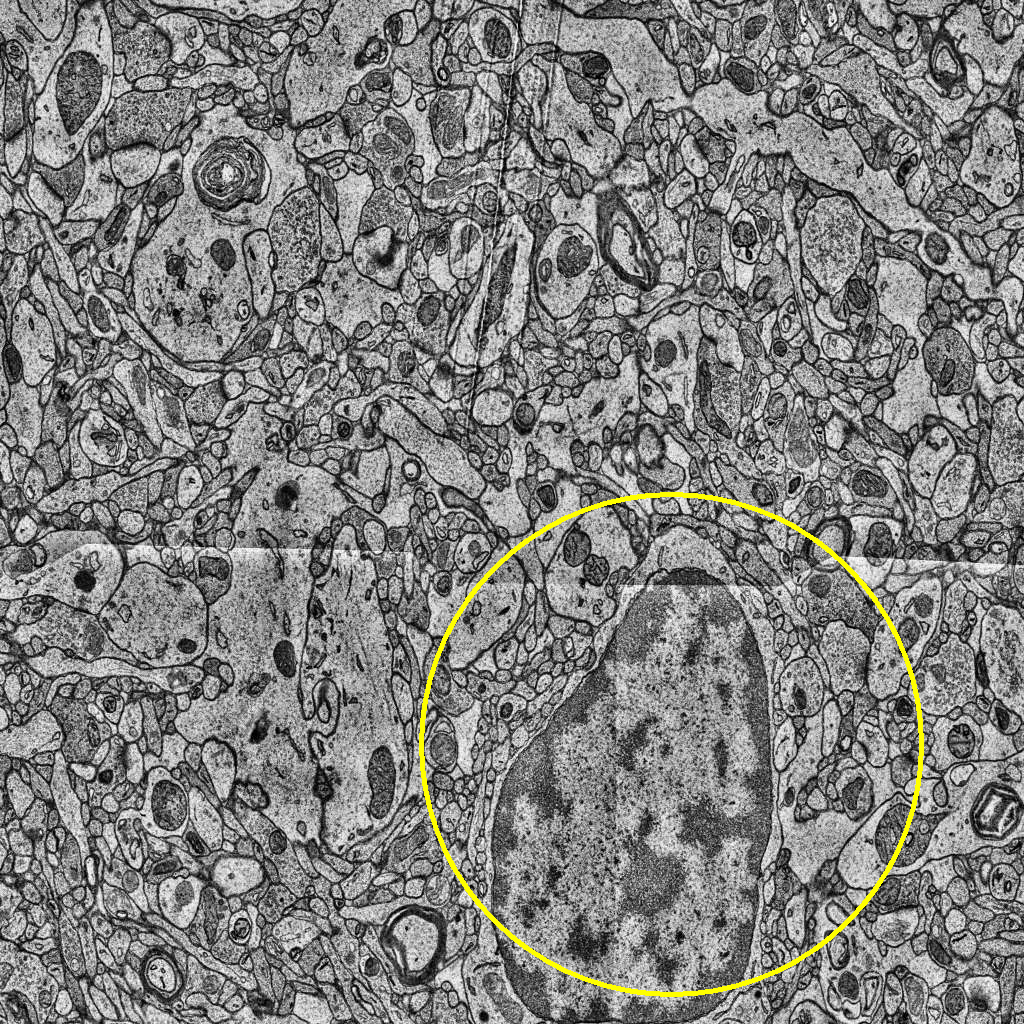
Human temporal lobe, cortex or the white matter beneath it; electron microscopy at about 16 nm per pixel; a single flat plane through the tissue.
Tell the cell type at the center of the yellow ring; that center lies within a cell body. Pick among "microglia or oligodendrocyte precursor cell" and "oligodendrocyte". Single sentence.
The ring's center lies in the body of a microglial cell or oligodendrocyte precursor cell.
